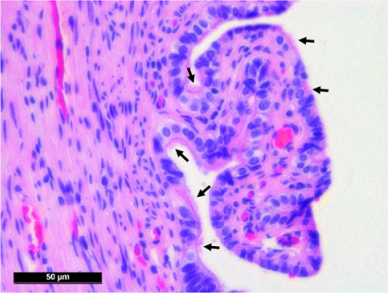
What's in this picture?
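A mucosal fold of the fallopian tube projects into the lumen, covered by a single layer of epithelial cells with dark purple nuclei. The fold has a core of loose stroma with a small blood vessel containing red cells. To the left lies dense pink wall tissue with elongated spindle-shaped nuclei running in parallel.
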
